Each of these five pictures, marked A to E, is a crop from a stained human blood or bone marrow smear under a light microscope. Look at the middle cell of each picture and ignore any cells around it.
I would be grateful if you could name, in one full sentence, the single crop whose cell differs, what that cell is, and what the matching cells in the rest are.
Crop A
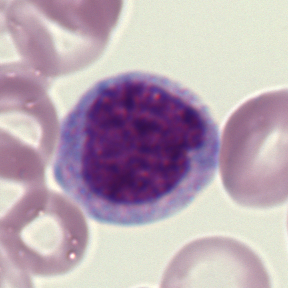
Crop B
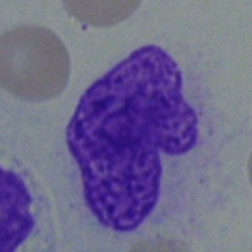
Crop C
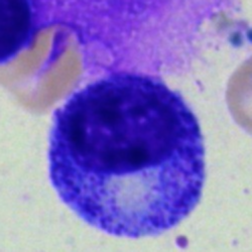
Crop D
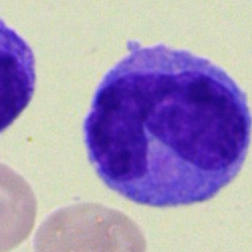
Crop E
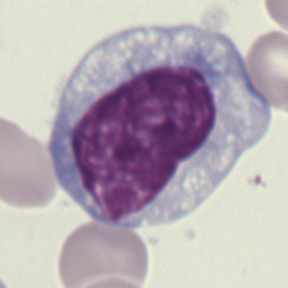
Although the other crops all show monocytes, crop C shows a promyelocyte.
